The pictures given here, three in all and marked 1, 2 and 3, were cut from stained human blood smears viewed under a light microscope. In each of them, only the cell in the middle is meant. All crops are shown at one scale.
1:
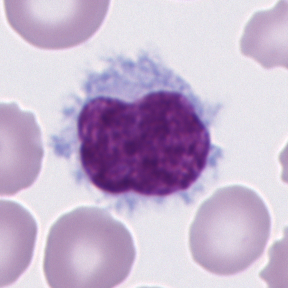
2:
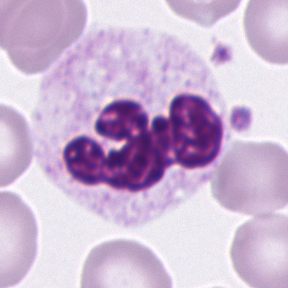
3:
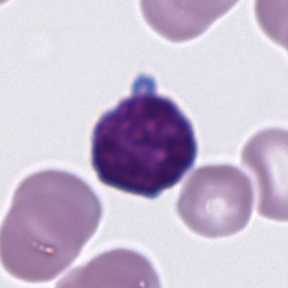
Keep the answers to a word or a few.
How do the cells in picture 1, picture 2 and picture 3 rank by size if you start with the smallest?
3, 1, 2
